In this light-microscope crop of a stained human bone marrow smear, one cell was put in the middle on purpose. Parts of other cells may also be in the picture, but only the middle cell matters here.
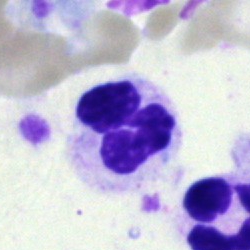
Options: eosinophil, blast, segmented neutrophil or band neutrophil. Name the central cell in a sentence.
The central cell, amid any neighbouring cells, is a segmented neutrophil.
